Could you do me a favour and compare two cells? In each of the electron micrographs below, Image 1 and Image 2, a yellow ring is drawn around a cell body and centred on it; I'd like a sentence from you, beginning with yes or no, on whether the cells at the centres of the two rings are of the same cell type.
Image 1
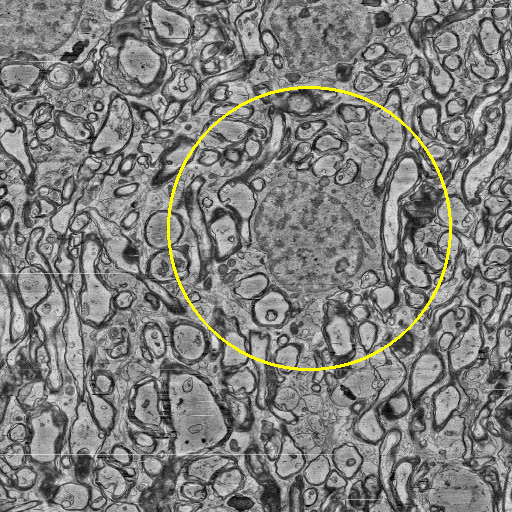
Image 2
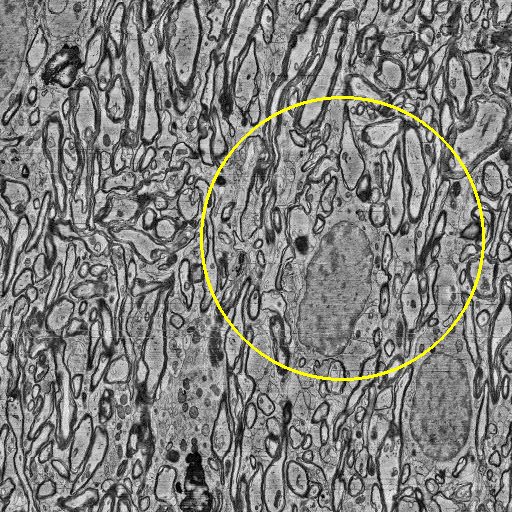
Yes, the two cells are of the same cell type.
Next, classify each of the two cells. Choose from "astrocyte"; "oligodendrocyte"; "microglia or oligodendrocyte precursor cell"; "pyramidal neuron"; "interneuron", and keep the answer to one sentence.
Each cell, in the first picture and the second, is an oligodendrocyte.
